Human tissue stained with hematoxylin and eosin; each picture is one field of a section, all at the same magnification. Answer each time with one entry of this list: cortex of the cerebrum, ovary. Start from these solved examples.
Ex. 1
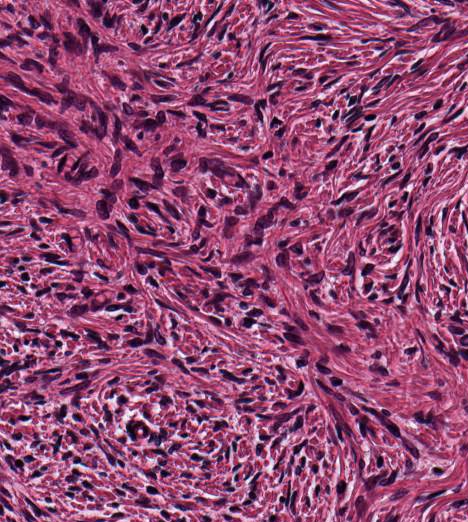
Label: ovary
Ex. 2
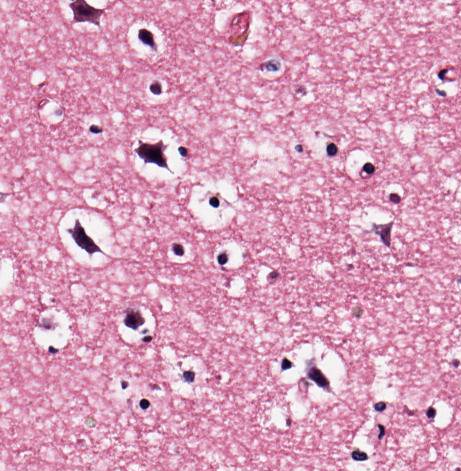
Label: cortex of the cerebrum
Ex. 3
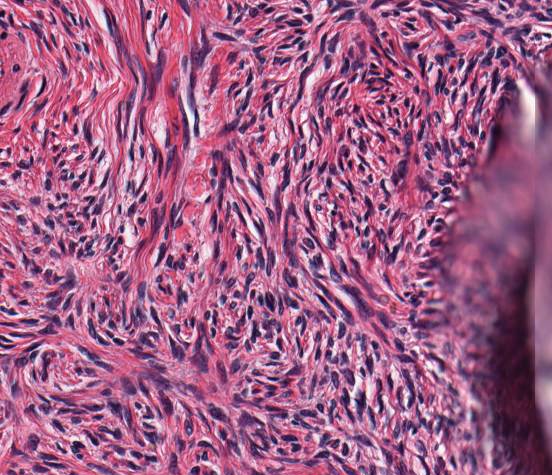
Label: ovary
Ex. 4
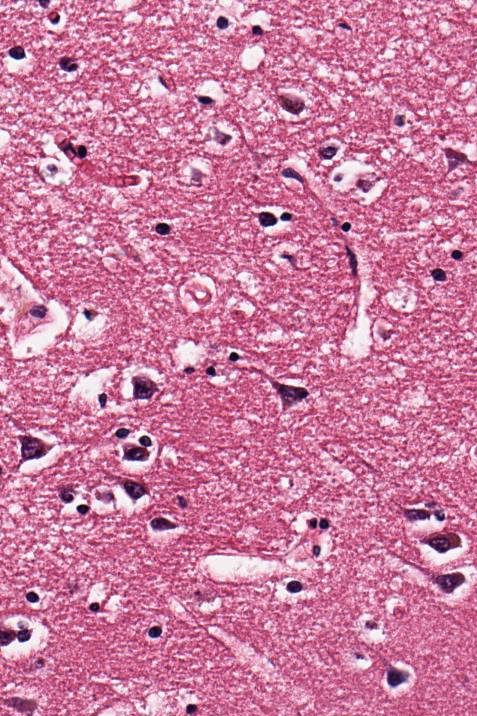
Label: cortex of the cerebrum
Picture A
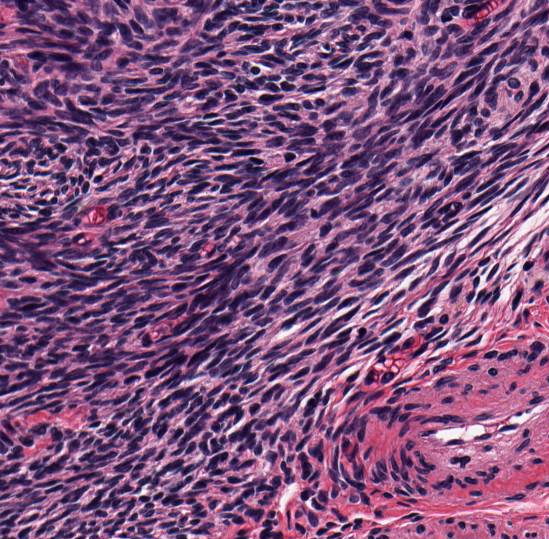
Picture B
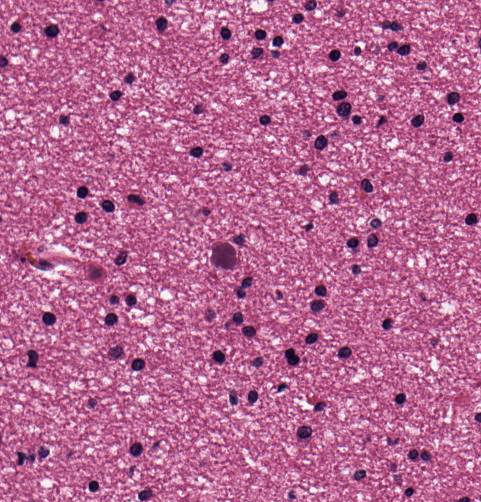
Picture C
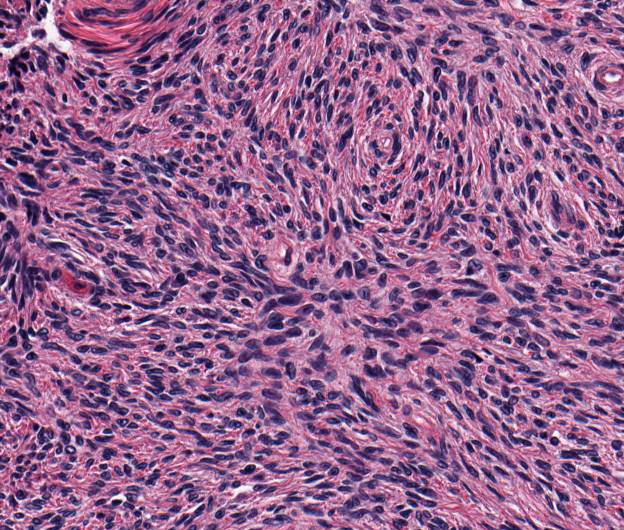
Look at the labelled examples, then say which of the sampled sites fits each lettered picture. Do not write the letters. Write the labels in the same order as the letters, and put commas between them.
ovary, cortex of the cerebrum, ovary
